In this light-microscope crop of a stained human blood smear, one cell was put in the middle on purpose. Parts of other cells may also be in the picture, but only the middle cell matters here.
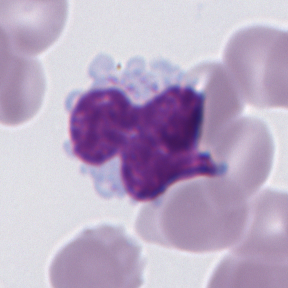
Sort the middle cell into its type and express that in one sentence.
This crop has a large granular lymphocyte at its centre.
